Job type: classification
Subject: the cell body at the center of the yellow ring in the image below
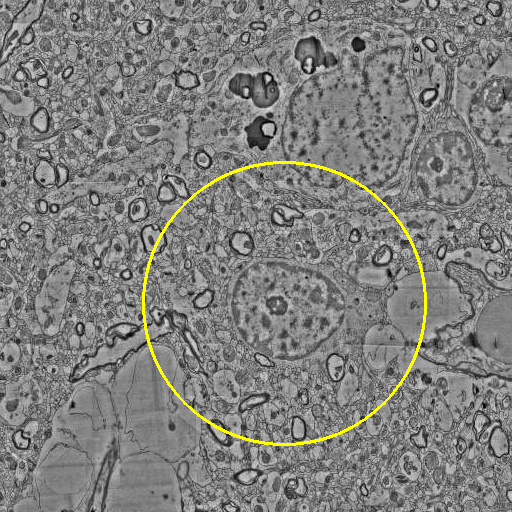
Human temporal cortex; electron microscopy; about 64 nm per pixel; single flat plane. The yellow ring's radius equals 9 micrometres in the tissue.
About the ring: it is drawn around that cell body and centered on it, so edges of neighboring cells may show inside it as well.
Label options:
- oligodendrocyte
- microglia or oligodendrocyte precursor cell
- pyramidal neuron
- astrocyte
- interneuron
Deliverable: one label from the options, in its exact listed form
oligodendrocyte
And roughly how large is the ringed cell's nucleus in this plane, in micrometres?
In this plane, roughly 7 by 6 micrometres.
